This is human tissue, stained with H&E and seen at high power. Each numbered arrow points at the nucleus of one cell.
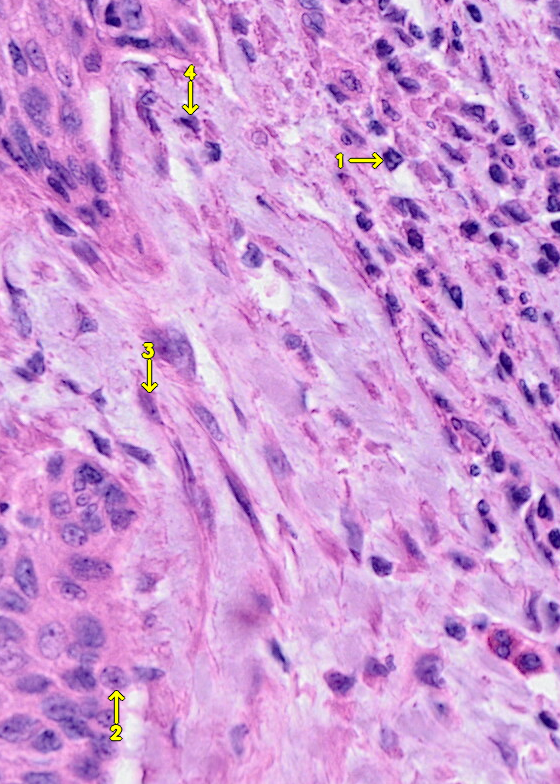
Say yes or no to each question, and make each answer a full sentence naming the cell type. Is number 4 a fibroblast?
Yes, the cell at marker 4 is a fibroblast.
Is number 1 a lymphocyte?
Yes, the cell bearing the number 1 is a lymphocyte.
